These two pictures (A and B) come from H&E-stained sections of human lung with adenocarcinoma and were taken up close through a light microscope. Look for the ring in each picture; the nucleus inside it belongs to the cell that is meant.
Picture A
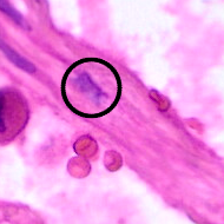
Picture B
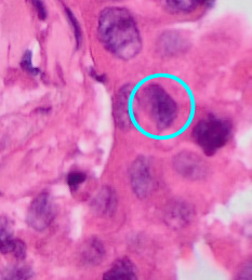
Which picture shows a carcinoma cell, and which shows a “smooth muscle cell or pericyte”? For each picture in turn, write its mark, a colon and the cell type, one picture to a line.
A: smooth muscle cell or pericyte
B: carcinoma cell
